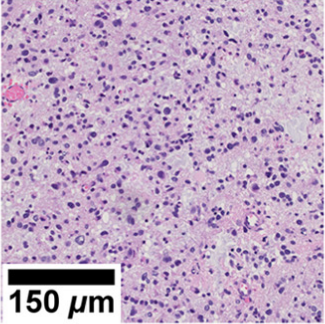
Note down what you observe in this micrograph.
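This is a section of a brain tumor in which many tumor cells lie scattered across a pale pink, finely fibrillary background. The tissue is densely cellular, with nuclei crowded unevenly across the whole field and no layered arrangement. The nuclei stain dark purple and vary in size and shape, from small and round to larger, oval and irregular forms. Cell borders are mostly indistinct, and the nuclei sit within the pink matrix with little distinct cytoplasm around them. A small cluster of red-pink cells, consistent with blood cells in a vessel, lies near the upper left.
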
